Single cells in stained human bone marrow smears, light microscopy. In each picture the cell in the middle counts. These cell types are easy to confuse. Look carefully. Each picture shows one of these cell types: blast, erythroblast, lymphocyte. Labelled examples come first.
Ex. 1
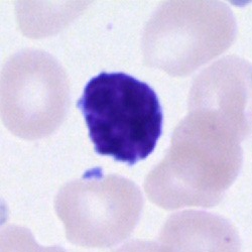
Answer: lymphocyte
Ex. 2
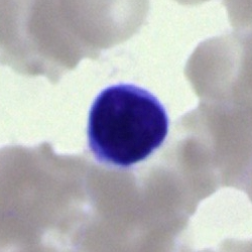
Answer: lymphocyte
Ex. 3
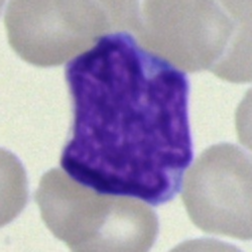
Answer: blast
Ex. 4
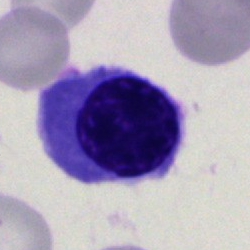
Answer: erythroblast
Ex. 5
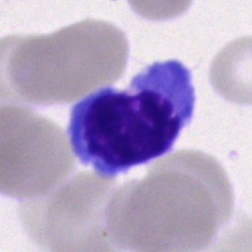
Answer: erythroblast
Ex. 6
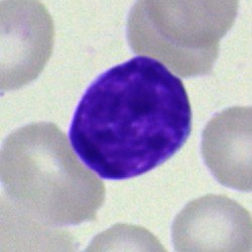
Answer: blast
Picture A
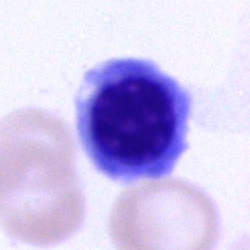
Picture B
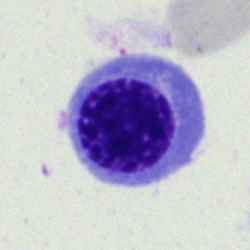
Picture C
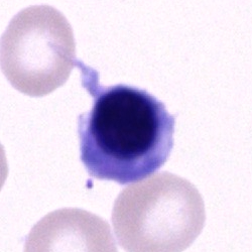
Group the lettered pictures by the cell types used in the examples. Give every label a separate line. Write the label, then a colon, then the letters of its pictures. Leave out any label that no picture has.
erythroblast: A, B, C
